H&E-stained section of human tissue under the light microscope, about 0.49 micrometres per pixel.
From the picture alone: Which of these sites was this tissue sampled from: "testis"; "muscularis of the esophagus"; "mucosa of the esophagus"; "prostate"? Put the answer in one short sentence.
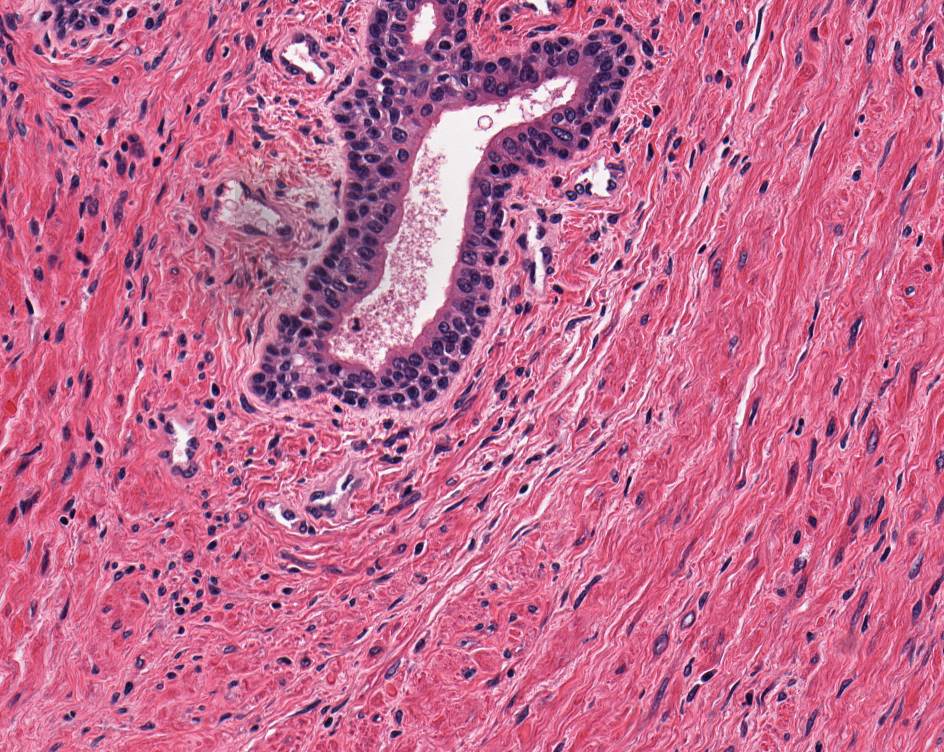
The site this tissue was sampled from is the prostate.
